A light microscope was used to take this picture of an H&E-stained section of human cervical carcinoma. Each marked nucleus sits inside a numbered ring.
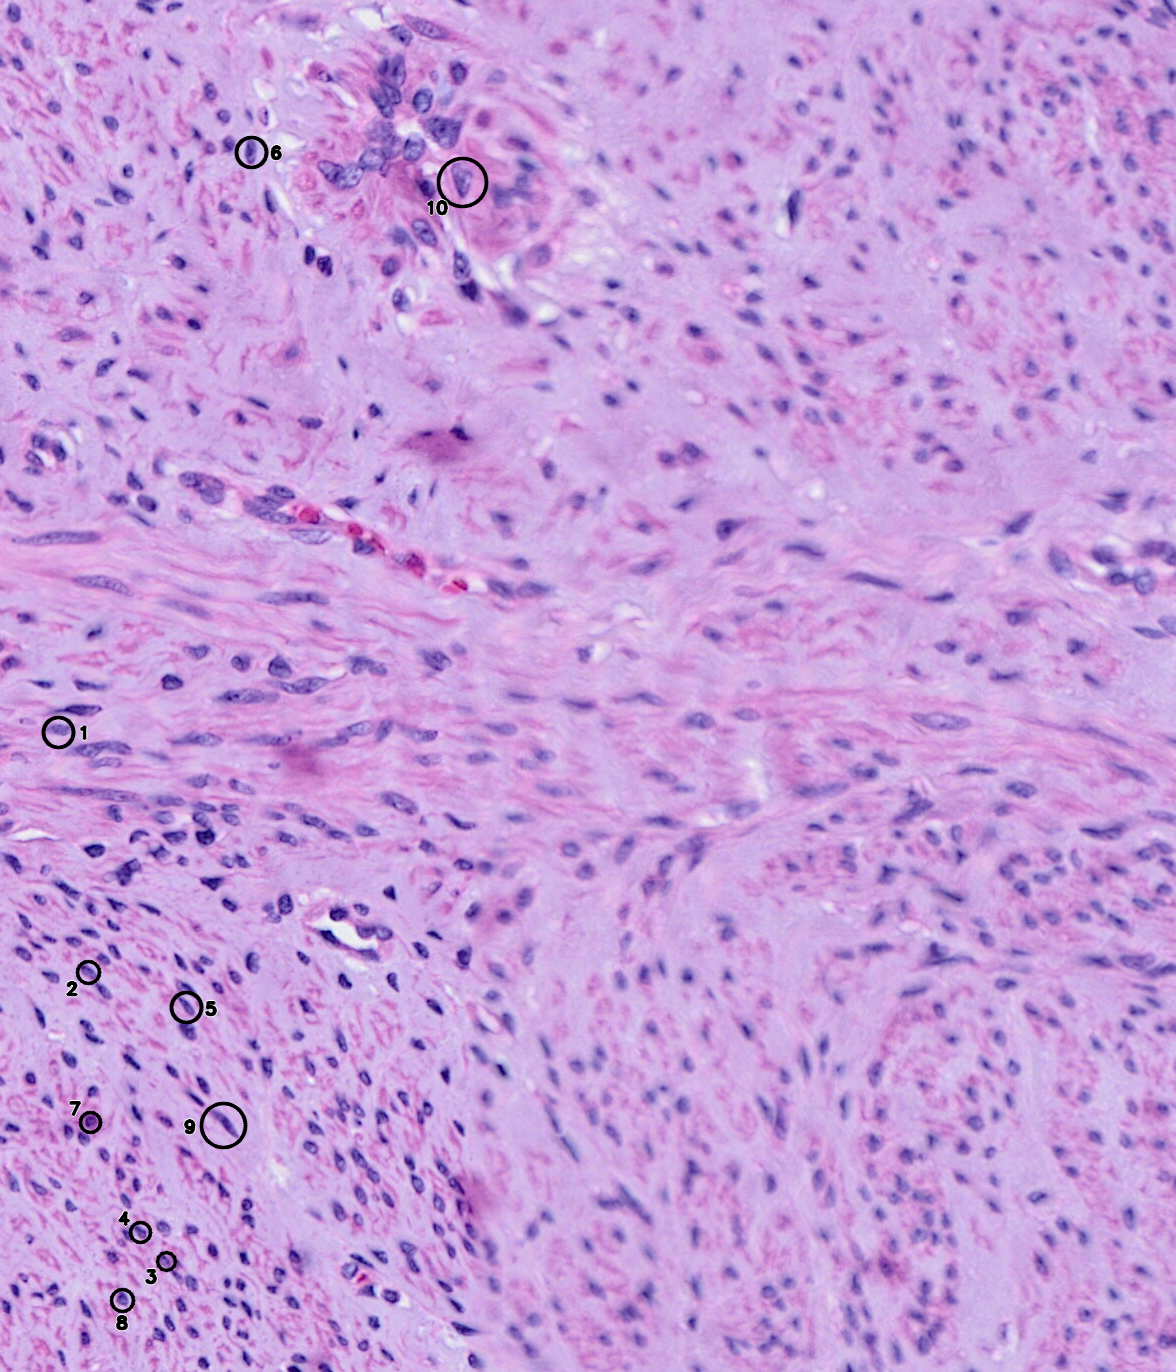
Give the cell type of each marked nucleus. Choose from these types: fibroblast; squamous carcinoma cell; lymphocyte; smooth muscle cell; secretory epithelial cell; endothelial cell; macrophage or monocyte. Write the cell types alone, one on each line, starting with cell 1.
fibroblast
smooth muscle cell
smooth muscle cell
smooth muscle cell
smooth muscle cell
fibroblast
smooth muscle cell
smooth muscle cell
fibroblast
endothelial cell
